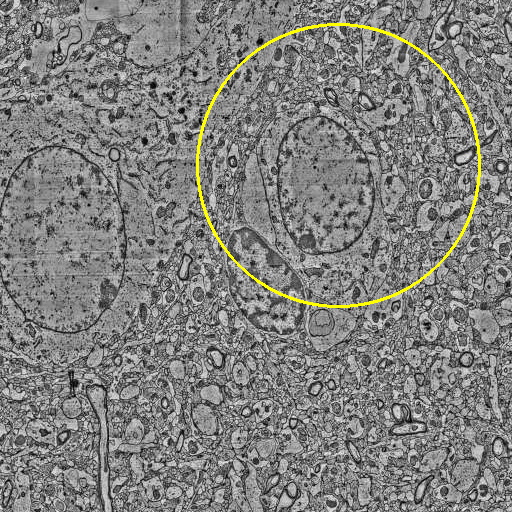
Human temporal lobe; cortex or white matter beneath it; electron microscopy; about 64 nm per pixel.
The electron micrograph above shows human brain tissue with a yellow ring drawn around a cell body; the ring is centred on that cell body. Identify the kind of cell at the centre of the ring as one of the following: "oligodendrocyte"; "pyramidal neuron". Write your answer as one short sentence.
The cell at the centre of the ring is a pyramidal neuron.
